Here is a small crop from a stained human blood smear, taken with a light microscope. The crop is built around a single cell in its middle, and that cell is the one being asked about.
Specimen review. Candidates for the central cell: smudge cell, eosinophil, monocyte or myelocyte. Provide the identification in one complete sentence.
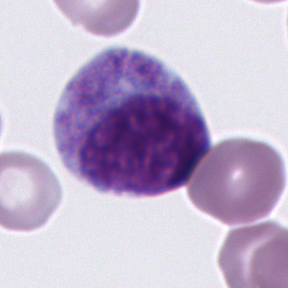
Answering briefly, the cell in the middle is a myelocyte.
